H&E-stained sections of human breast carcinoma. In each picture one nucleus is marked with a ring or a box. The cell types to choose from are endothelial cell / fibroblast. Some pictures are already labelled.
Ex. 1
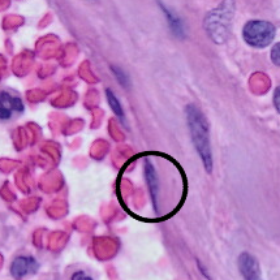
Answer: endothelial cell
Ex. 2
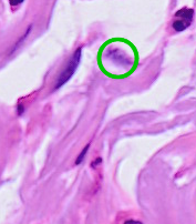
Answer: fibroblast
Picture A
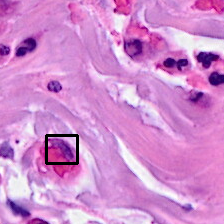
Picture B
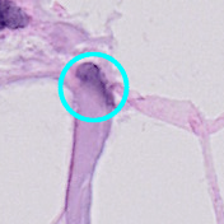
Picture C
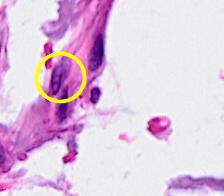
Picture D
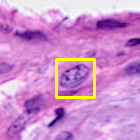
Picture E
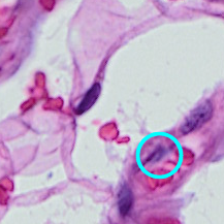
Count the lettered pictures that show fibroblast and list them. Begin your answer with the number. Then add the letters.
Count: 1 (B)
